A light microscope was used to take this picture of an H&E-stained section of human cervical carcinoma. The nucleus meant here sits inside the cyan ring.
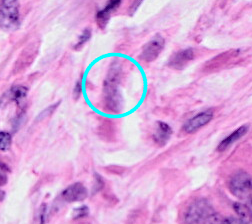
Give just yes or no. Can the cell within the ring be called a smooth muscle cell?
no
